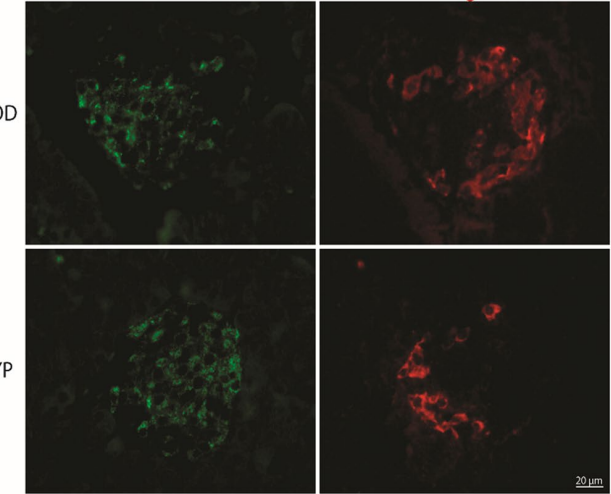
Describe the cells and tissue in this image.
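Two pancreatic islets are shown, each as a pair of separate images of the same field, one with green signal and one with red. In each islet many cells with granular green cytoplasm make up a compact, rounded cluster. A smaller number of cells with red cytoplasm lie grouped together, mostly toward one side or the edge of the islet, within the darker surrounding tissue.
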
